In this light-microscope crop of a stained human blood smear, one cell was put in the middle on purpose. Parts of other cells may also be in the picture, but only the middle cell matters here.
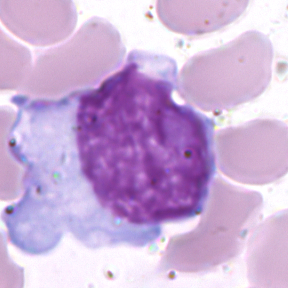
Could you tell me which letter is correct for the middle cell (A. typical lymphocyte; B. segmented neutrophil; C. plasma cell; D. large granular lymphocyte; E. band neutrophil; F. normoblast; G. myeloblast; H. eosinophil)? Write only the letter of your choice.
C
